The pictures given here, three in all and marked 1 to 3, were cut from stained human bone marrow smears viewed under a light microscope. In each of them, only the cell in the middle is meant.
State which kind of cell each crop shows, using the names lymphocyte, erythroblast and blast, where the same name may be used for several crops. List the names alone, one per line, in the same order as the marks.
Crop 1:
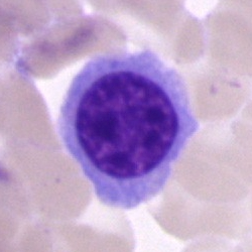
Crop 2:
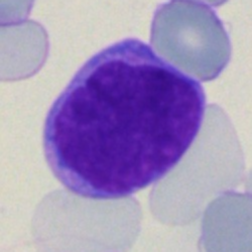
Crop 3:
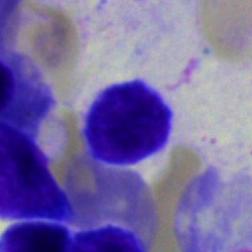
erythroblast
blast
lymphocyte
